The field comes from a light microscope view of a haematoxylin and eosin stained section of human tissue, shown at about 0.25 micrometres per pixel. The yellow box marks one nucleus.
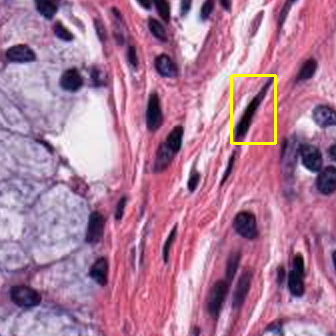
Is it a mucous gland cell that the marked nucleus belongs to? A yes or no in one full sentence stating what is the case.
No, the marked nucleus, which belongs to a supporting cell, is not part of a mucous gland cell.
